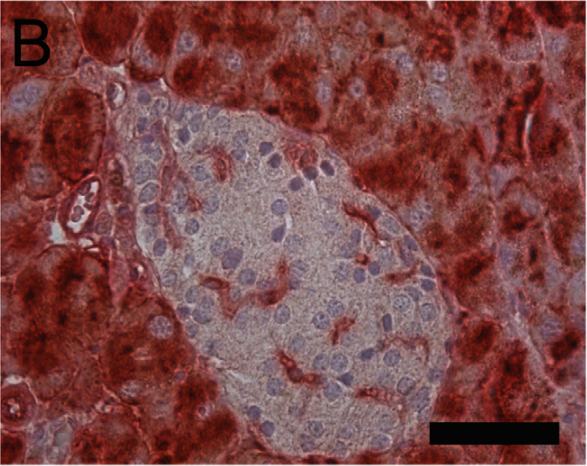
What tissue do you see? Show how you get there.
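A pale rounded cluster of endocrine-like cells is embedded in surrounding glandular tissue. The surrounding tissue consists of cells with dense, granular red-stained cytoplasm grouped in acini. That points to this answer: pancreas.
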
